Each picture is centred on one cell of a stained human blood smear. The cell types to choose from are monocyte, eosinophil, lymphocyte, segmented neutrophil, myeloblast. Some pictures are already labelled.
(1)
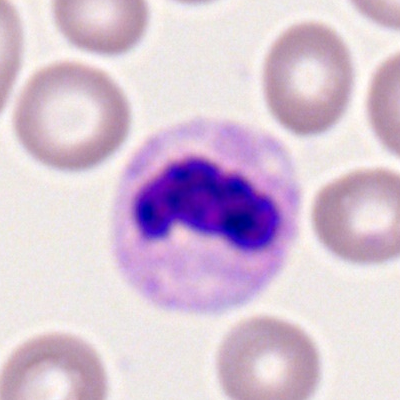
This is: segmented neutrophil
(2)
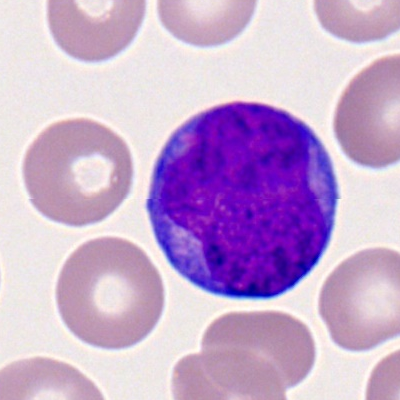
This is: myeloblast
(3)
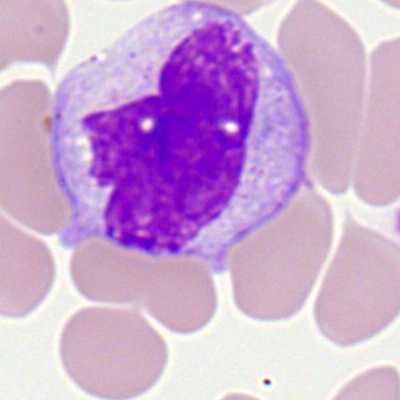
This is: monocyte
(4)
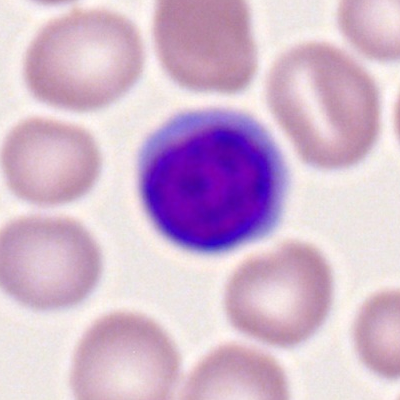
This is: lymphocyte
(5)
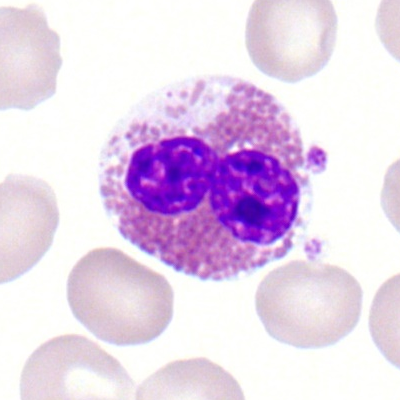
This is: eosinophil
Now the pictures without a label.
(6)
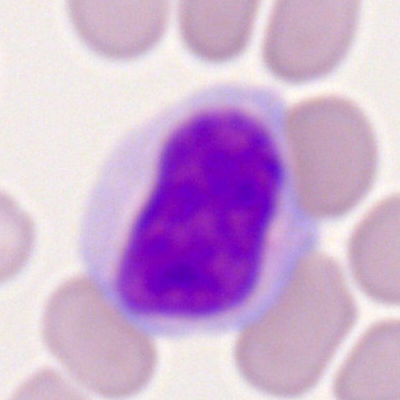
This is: lymphocyte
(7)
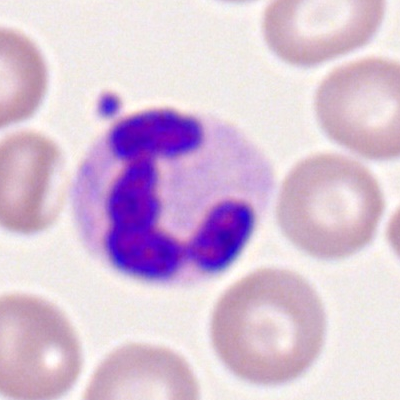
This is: segmented neutrophil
